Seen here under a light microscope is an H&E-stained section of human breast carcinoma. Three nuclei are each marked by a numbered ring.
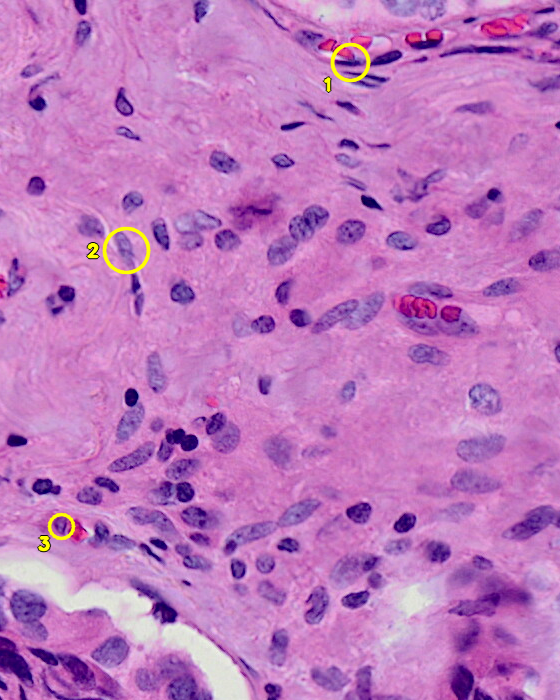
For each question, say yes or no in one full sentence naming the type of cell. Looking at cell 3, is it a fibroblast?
No, cell number 3 is an endothelial cell; it is not a fibroblast.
